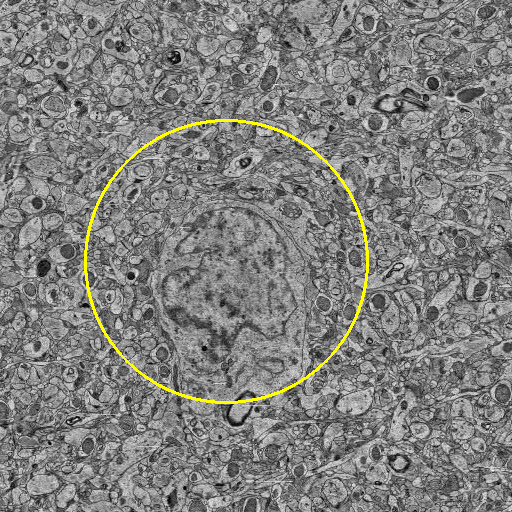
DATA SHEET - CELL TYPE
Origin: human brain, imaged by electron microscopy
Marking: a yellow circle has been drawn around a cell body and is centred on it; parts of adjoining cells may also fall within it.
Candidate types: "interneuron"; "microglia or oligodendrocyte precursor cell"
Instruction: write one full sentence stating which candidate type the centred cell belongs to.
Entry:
The cell body at the centre of the yellow ring in this micrograph belongs to an interneuron.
